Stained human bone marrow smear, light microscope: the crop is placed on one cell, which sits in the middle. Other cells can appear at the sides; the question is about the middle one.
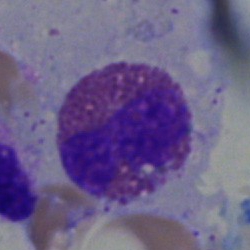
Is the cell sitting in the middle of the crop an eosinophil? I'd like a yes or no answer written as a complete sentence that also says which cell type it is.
Yes, the cell occupying the center is an eosinophil.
